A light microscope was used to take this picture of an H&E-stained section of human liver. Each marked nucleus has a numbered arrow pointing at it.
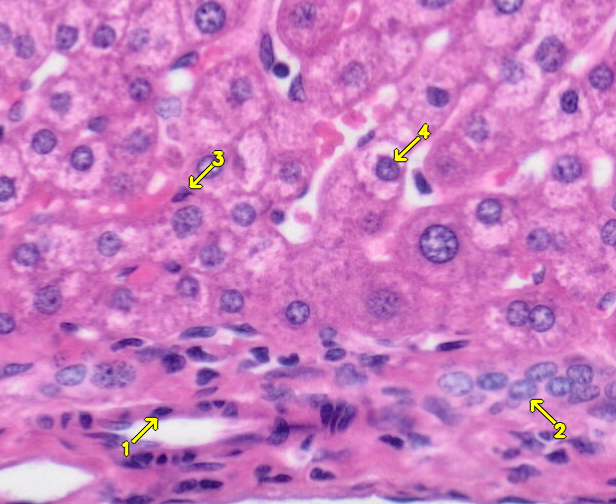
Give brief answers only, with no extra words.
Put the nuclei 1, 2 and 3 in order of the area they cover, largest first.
2, 3, 1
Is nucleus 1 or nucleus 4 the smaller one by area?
1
